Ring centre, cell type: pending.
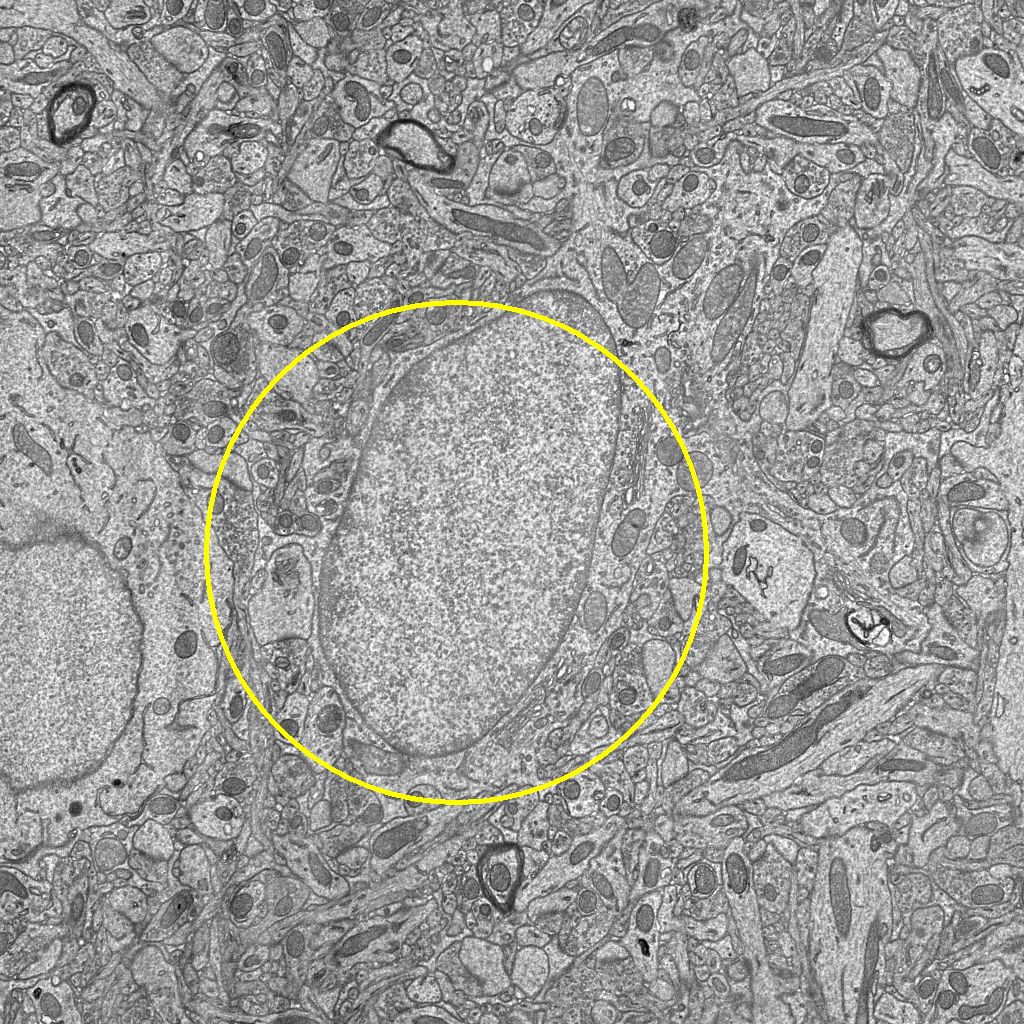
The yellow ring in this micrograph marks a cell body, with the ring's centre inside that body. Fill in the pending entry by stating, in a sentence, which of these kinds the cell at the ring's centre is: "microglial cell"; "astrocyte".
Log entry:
The cell at the ring's centre is recorded as an astrocyte.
